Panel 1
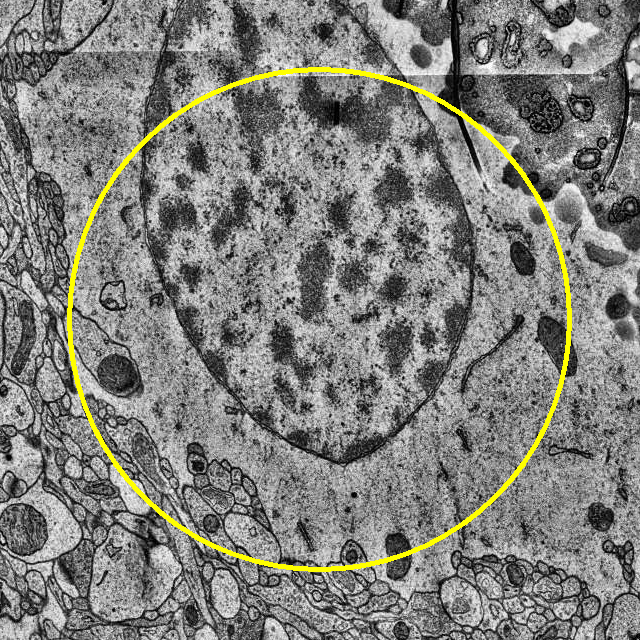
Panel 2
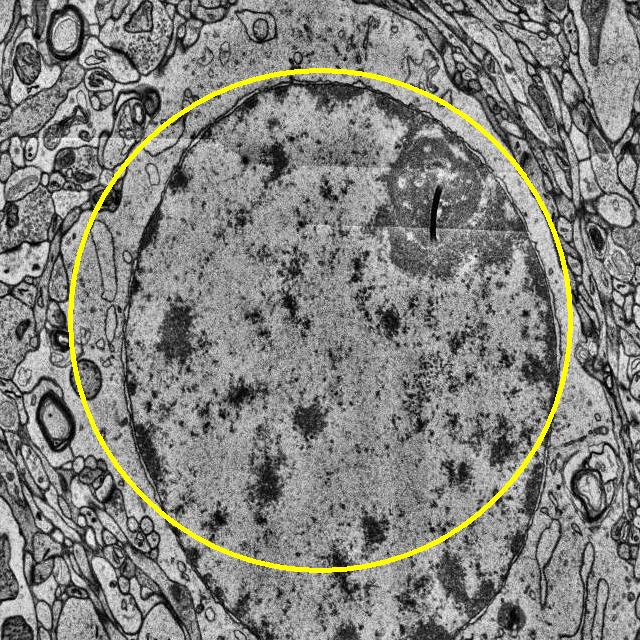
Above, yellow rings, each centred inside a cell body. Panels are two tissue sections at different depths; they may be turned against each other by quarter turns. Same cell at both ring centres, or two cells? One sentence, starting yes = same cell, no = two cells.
No, the marked cells are two, not one.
